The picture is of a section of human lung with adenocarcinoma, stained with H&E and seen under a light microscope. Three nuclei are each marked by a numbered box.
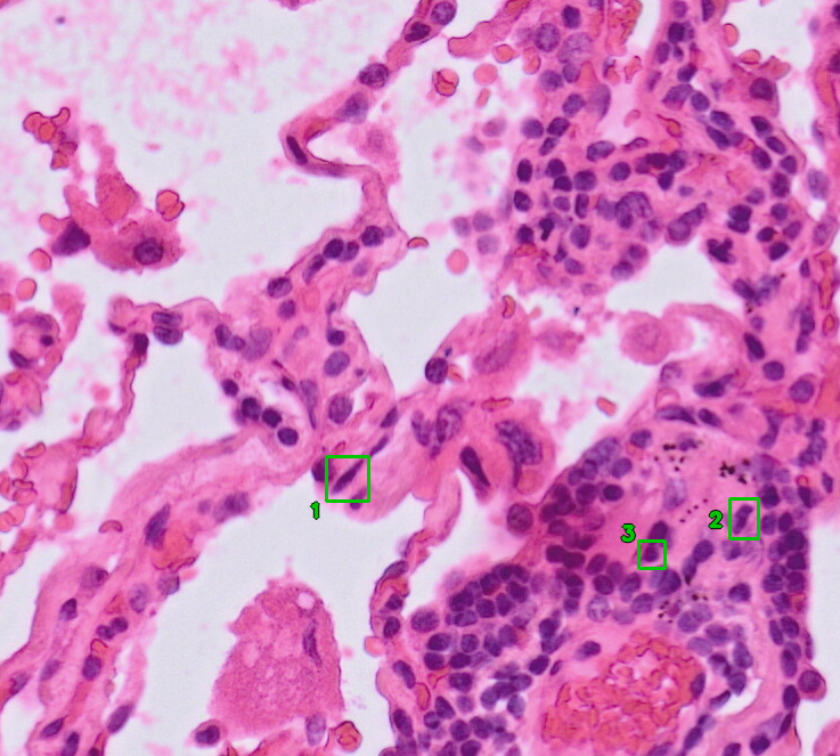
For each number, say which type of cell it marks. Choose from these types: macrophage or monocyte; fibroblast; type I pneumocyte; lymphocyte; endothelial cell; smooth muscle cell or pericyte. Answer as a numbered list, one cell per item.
1. endothelial cell
2. lymphocyte
3. lymphocyte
